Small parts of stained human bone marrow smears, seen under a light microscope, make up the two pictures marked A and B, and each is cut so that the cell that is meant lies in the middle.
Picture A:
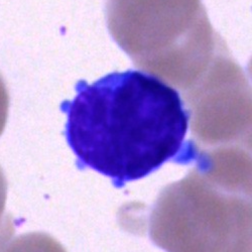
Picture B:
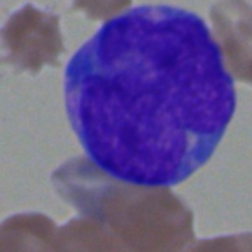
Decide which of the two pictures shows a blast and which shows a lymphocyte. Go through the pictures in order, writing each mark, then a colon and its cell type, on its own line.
A: lymphocyte
B: blast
